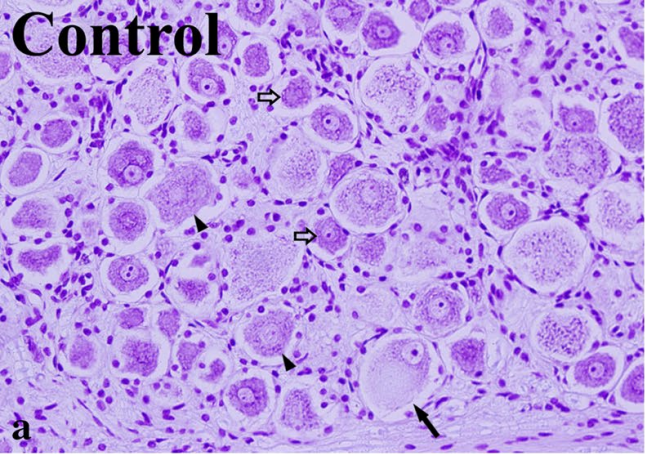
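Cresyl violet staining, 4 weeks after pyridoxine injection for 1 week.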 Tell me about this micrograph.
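This is a dorsal root ganglion packed with the round cell bodies of sensory neurons, stained violet. The neurons come in a range of sizes, from small, darkly stained bodies to large ones with paler, finely granular cytoplasm. Many show a round pale nucleus with a dark central nucleolus. Each neuron body is wrapped by a thin rim of small flattened nuclei belonging to surrounding satellite cells. Between the neurons lie scattered small dark nuclei in a pale connective tissue.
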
